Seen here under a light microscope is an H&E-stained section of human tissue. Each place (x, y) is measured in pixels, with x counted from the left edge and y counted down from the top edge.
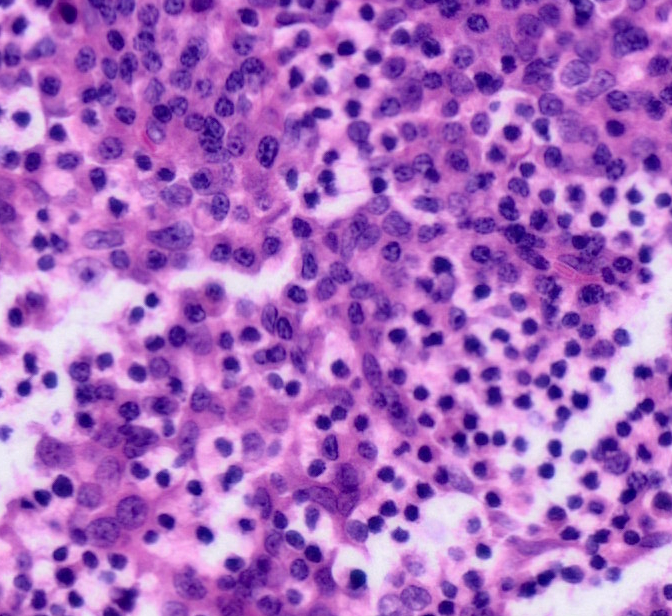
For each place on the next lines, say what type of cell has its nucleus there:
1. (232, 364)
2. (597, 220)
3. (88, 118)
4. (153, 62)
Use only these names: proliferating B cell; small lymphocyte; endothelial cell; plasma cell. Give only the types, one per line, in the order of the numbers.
plasma cell
small lymphocyte
plasma cell
plasma cell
